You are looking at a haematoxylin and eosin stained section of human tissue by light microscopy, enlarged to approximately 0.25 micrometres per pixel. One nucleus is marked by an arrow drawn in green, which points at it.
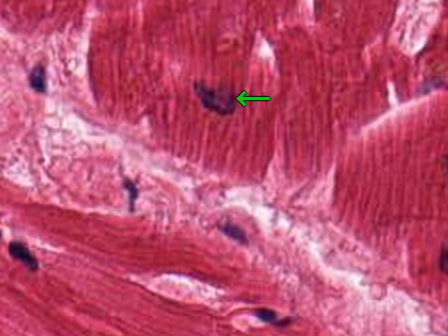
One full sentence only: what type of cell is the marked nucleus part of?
Here the marked nucleus belongs to a cardiomyocyte.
